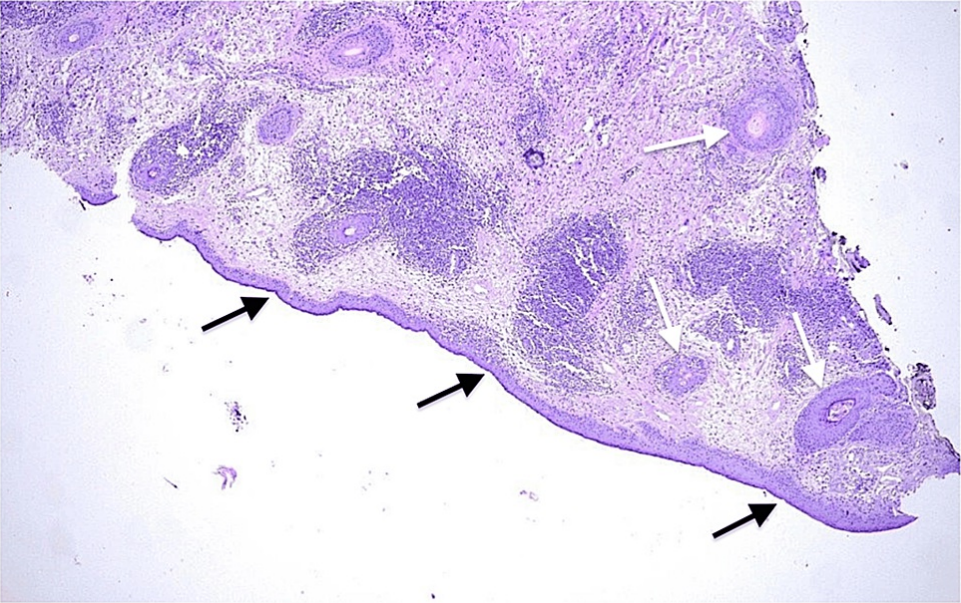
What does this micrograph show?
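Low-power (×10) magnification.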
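The epidermis is a continuous purple band of stratified squamous epithelium. Scattered through the dermis are round follicular structures cut in cross-section. Each has concentric layers of epithelium around a central core of pale pink material, so the follicles appear plugged. Dense dark-purple clusters of small round cells lie around the follicles and throughout the paler pink dermal connective tissue.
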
